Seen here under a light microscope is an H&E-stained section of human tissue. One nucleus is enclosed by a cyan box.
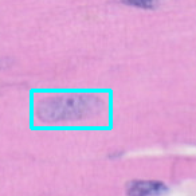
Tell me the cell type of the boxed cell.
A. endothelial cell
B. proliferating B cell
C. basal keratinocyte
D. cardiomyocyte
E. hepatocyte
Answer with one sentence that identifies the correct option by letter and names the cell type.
Option D gives the correct identity of the boxed cell, which is a cardiomyocyte.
